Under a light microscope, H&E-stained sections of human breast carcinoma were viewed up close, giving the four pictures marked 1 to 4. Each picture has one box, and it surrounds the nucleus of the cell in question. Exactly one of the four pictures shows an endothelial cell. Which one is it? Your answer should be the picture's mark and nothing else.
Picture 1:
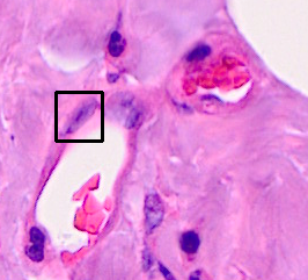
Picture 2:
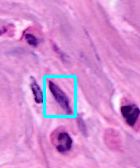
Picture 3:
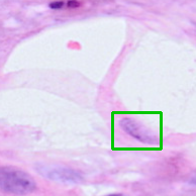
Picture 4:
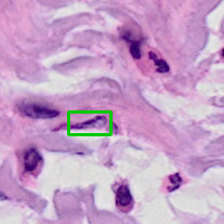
1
